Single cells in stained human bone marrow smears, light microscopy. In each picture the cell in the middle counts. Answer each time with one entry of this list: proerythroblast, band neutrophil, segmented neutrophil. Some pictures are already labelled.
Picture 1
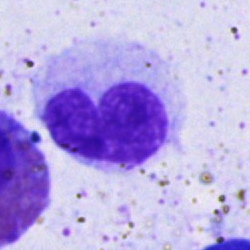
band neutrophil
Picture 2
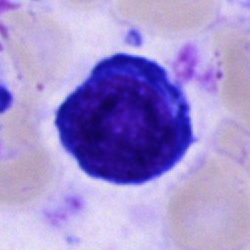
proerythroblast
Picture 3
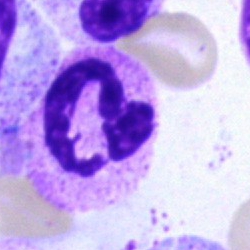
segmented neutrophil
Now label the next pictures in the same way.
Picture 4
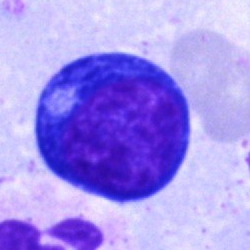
proerythroblast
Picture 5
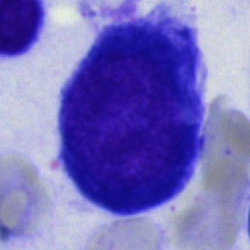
proerythroblast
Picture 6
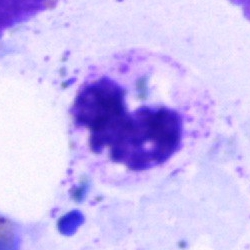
segmented neutrophil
